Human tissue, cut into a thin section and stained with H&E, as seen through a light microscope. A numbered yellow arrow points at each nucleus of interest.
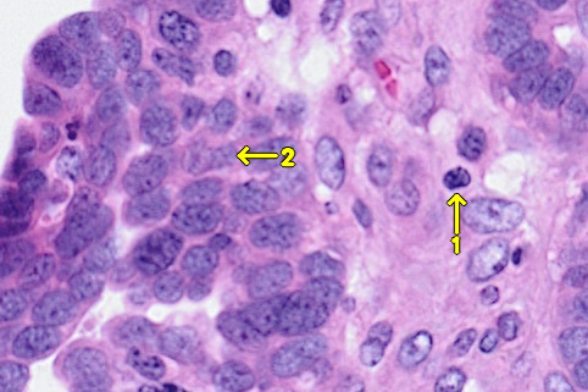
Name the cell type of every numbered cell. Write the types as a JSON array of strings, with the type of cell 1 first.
["lymphocyte", "carcinoma cell"]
